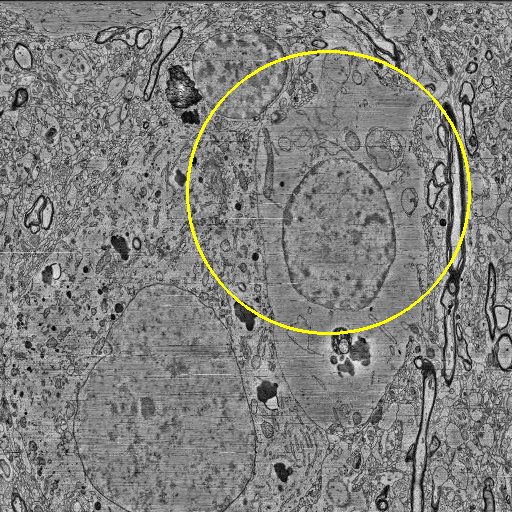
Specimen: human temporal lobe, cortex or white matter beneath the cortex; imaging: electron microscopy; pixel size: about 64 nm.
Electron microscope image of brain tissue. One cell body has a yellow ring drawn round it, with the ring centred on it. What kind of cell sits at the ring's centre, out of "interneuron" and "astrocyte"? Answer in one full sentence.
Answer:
It is an astrocyte whose cell body sits at the centre of the yellow ring.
